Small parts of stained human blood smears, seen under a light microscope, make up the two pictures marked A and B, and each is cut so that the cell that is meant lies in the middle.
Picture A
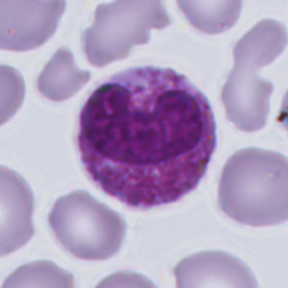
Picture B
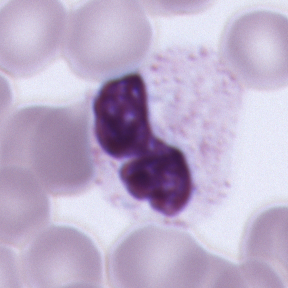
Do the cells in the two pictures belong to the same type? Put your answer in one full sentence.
No, they differ: the cell is an eosinophil in picture A and a segmented neutrophil in picture B.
